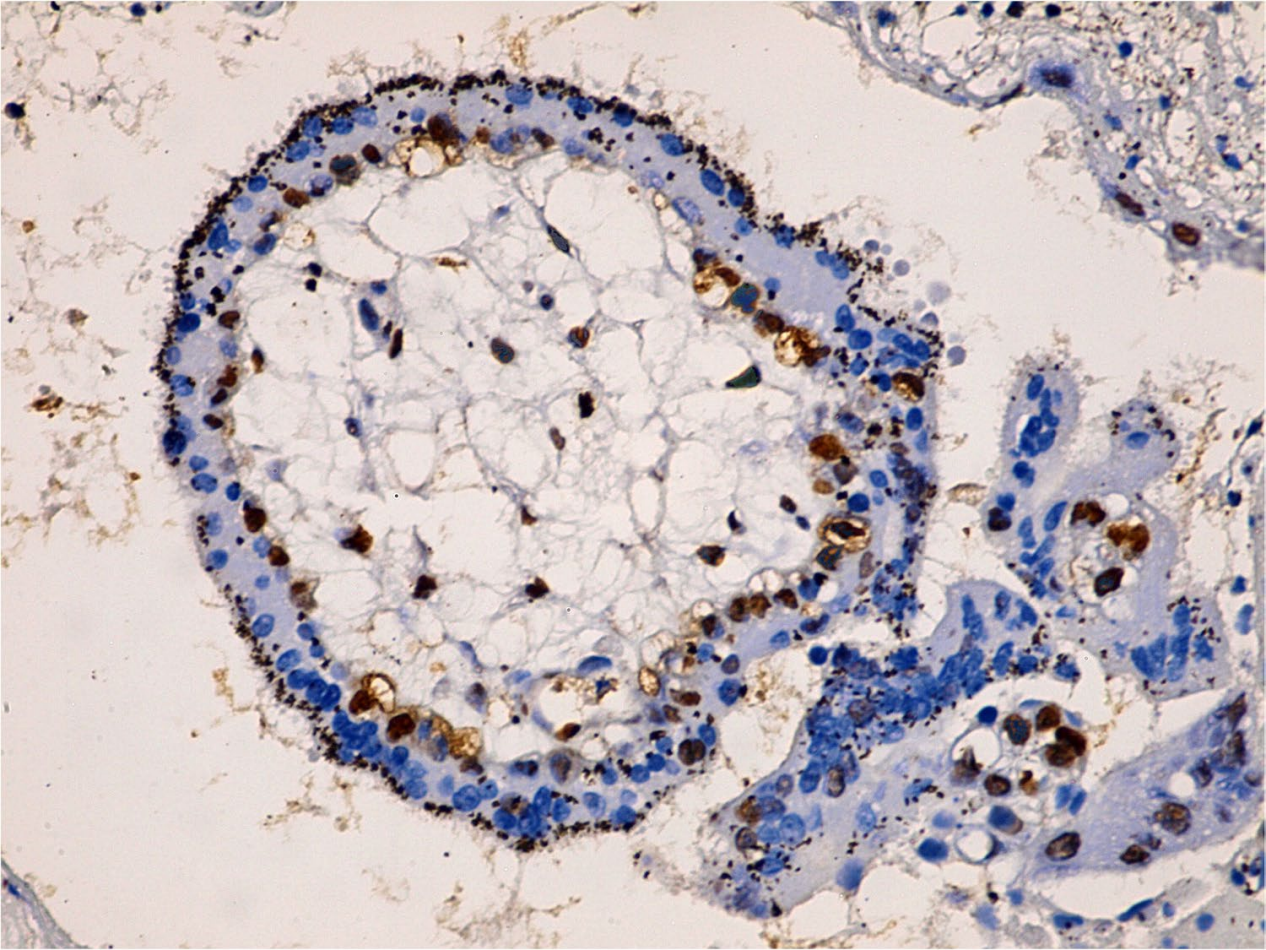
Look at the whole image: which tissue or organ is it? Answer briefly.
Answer: Villi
